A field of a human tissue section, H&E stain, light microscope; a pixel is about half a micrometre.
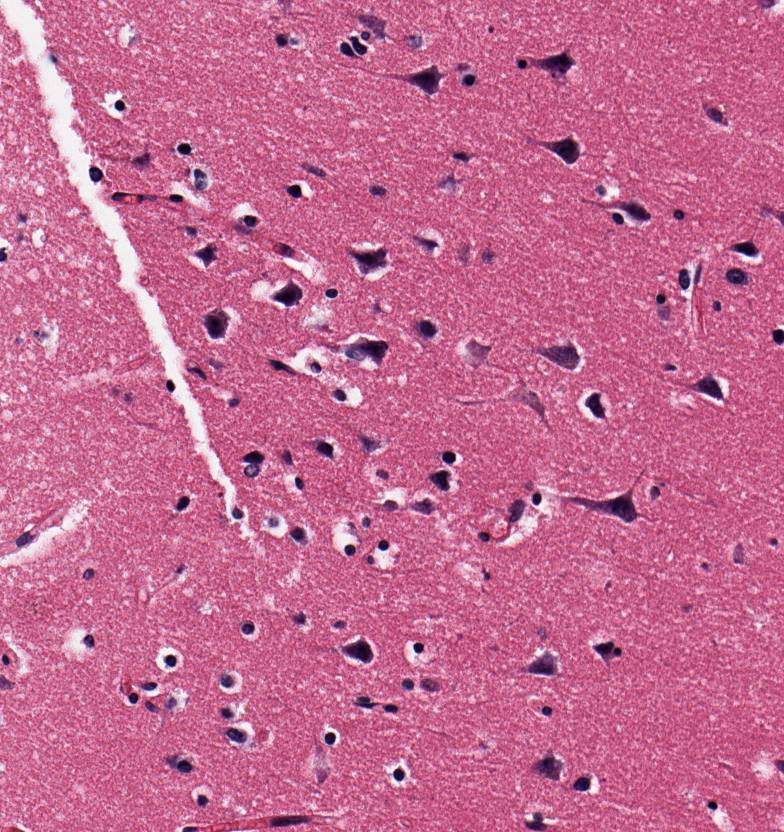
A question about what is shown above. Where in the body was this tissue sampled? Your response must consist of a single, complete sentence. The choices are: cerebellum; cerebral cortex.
The sample of tissue came from the cerebral cortex.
